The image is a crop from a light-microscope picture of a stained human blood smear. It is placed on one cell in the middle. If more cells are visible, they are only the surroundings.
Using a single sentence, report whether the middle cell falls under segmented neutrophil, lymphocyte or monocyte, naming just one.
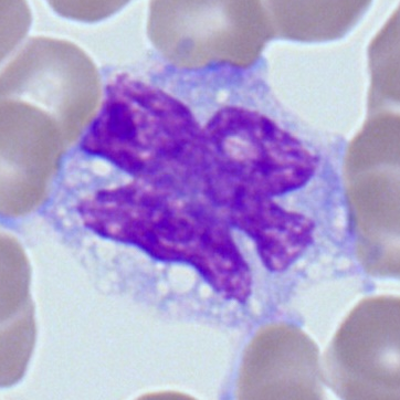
At the crop's centre, the cell is a monocyte.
